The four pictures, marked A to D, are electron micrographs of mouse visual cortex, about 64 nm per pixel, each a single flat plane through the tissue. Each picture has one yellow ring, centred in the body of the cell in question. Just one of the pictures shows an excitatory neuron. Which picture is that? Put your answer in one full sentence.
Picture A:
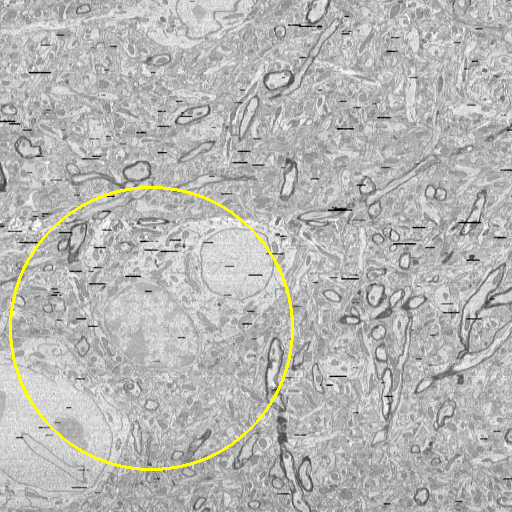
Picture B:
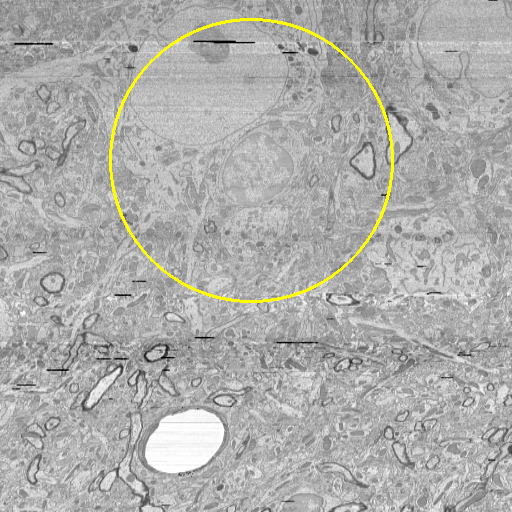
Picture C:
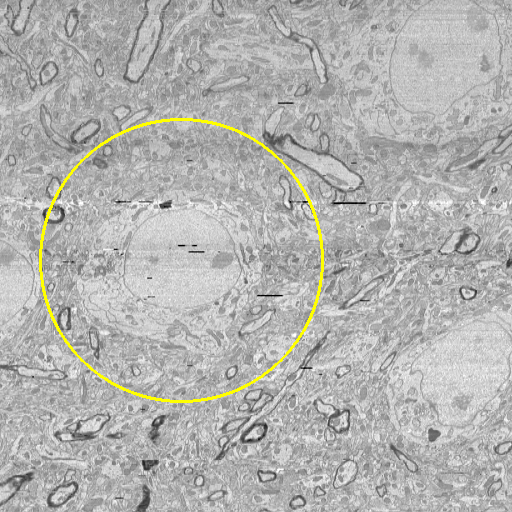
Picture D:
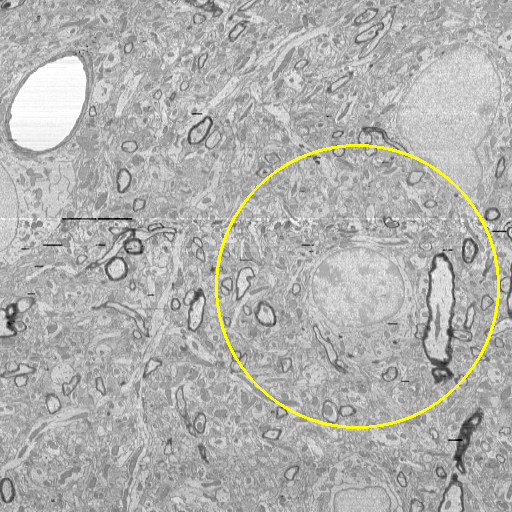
The picture with the excitatory neuron is C.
